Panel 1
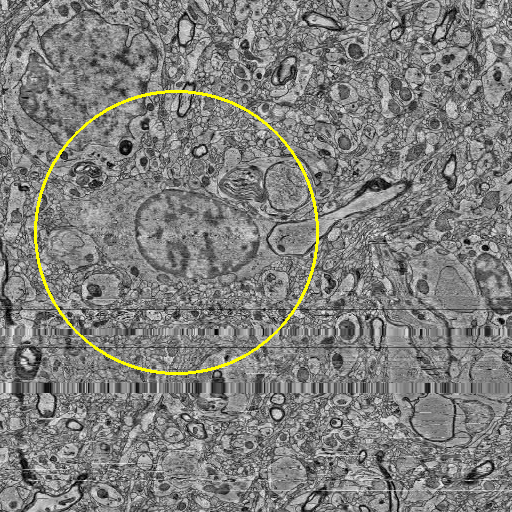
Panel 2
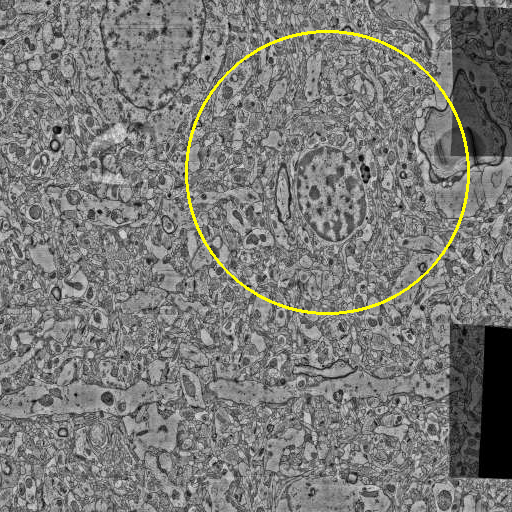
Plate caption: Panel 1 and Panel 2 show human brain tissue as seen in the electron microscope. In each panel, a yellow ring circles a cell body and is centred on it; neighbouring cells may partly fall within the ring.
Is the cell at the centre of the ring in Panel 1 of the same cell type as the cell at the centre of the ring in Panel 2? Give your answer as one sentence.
No, the two cells are of two types.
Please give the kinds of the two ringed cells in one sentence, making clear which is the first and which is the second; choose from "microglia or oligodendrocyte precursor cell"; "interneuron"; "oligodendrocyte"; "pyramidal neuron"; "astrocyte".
In the second picture the ringed cell is a microglial cell or oligodendrocyte precursor cell; in the first it is an oligodendrocyte.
